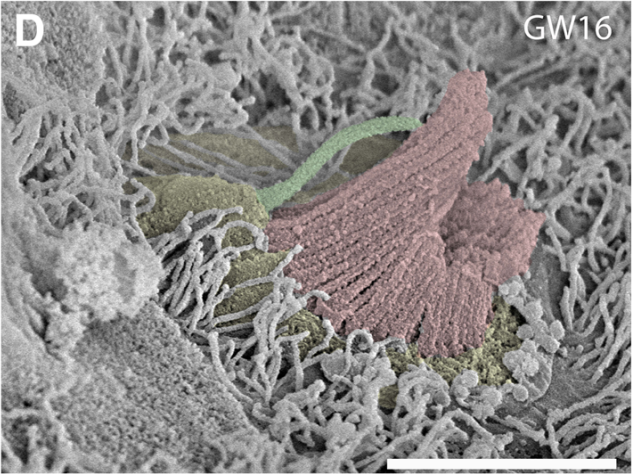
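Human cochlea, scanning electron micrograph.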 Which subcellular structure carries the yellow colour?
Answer: Cuticular plate.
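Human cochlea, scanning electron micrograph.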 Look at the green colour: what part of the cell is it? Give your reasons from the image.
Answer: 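Kinocilium. The green structure is a single long thin projection.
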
